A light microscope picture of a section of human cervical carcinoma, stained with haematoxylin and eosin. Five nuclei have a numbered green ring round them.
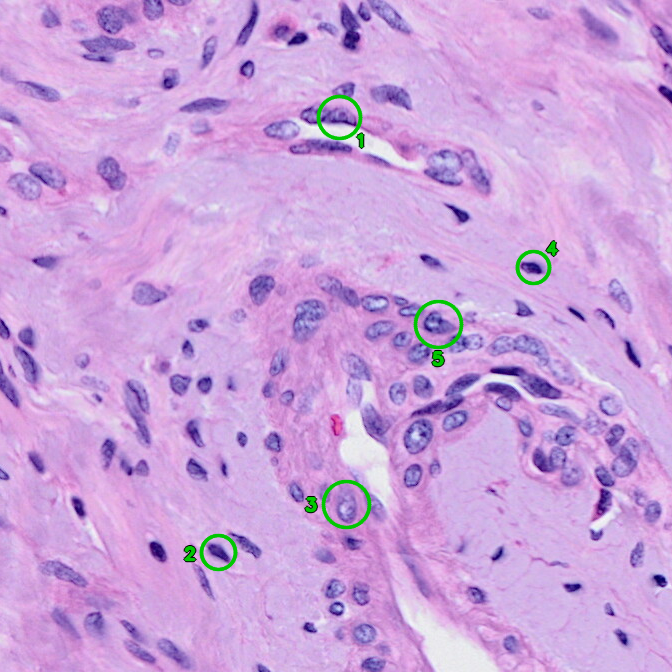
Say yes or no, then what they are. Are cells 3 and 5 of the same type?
Yes, smooth muscle cells are what cells 3 and 5 both are.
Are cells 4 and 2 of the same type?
Yes, cell number 4 and cell number 2 are both fibroblasts.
